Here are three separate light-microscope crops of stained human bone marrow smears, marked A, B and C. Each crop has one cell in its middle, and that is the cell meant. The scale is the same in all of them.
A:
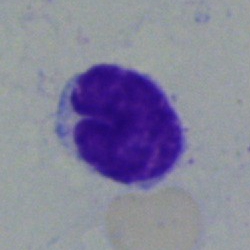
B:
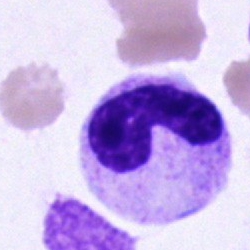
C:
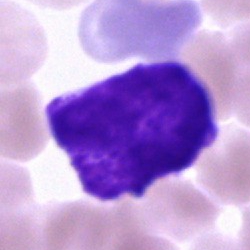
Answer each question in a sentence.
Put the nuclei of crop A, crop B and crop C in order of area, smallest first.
From the smallest up, the order is B, A, C.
